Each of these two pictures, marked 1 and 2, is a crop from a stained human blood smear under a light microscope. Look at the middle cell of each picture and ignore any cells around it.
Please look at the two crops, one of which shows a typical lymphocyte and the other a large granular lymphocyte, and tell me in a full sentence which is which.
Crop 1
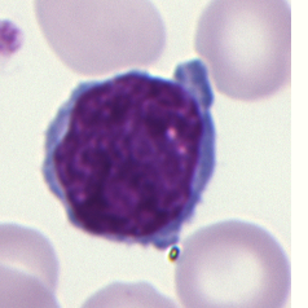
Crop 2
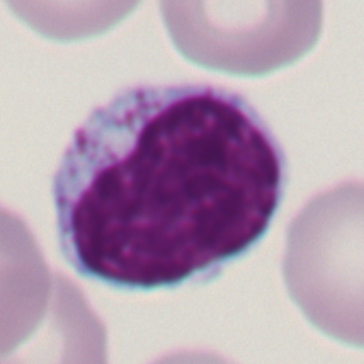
At the centre of crop 1 lies a typical lymphocyte, and at the centre of crop 2 lies a large granular lymphocyte.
